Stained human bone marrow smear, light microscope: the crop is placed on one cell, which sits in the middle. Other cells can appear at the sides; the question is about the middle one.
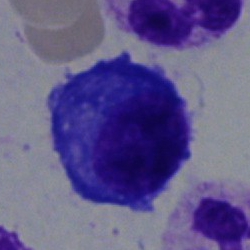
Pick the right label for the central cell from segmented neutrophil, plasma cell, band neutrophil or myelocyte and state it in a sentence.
The target cell in the middle of the crop is a plasma cell.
